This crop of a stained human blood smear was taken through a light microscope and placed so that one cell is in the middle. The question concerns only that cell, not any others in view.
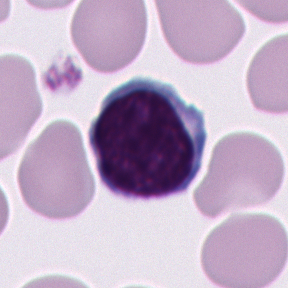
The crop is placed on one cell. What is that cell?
lymphocyte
